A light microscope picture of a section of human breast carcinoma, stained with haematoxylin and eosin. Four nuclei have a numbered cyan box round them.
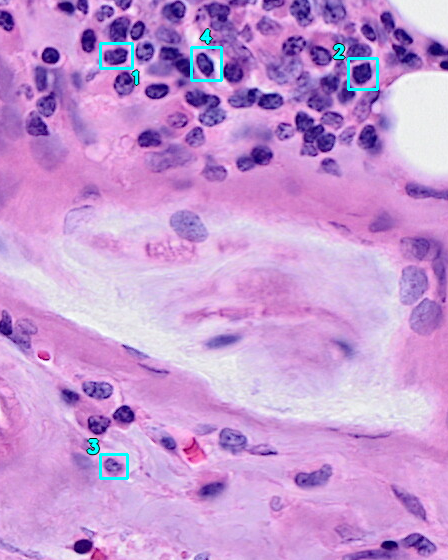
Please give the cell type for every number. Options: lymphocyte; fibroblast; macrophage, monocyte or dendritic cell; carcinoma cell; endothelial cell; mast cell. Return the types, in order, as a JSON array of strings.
["lymphocyte", "lymphocyte", "mast cell", "lymphocyte"]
